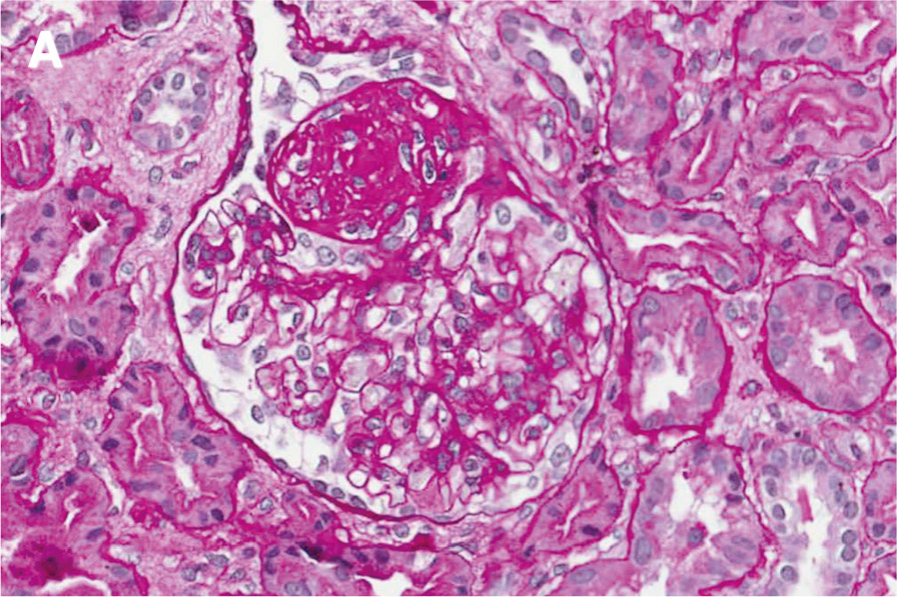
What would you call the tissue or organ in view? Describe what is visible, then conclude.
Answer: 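A round tuft of capillary loops lies in the centre inside a thin capsule. A clear urinary space separates the tuft from the capsule. Tubules cut in cross-section surround it. The answer: glomerulus.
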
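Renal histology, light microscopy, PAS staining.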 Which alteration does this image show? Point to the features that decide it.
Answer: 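A dense, deep magenta segment occupies the upper part of the tuft. Capillary lumina are absent in that segment, unlike the open loops below it.
Answer: sclerotic lesion of the glomerular tuft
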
